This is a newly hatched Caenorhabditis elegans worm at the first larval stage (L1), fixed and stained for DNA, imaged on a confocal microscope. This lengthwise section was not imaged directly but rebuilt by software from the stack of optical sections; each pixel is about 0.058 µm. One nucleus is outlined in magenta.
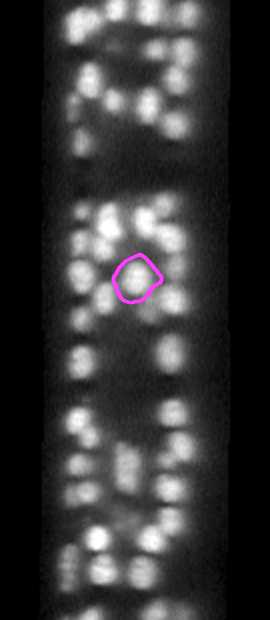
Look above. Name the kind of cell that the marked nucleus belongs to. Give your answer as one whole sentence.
The cell with the marked nucleus is a neuron.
